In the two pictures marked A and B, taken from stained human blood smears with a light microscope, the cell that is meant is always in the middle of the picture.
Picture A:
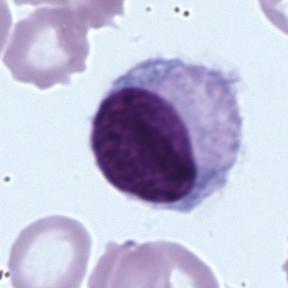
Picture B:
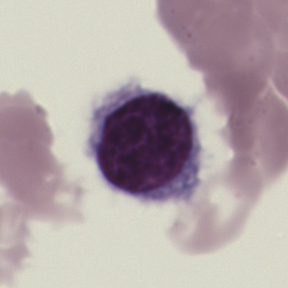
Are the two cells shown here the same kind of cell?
yes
